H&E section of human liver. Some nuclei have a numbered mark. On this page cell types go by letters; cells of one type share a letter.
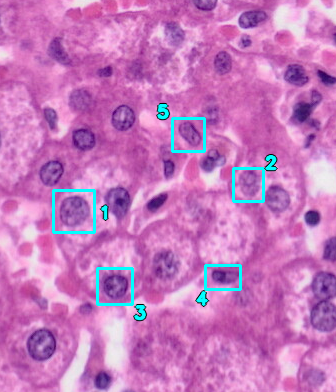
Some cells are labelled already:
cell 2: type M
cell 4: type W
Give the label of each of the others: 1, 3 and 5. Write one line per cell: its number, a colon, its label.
1: type M
3: type M
5: type W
